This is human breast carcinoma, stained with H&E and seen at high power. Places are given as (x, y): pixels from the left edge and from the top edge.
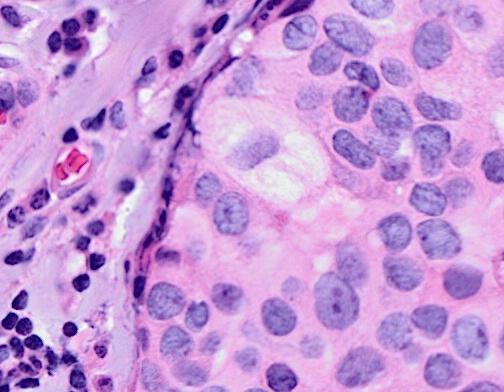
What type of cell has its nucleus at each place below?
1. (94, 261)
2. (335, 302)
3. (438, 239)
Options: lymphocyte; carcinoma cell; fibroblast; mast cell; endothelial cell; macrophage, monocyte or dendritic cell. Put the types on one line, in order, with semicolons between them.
lymphocyte; carcinoma cell; carcinoma cell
